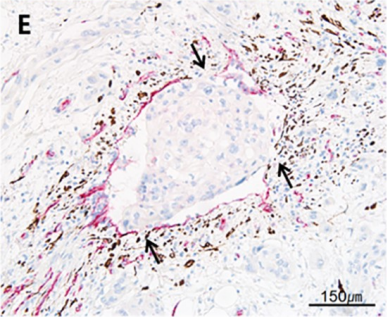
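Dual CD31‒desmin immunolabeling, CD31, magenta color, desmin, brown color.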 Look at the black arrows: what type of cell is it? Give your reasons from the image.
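The arrows point to the thin lining at the edge of a space holding a tumour cell cluster. Thin magenta-lined cells run along parts of this lining. On this evidence: endothelial cells.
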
